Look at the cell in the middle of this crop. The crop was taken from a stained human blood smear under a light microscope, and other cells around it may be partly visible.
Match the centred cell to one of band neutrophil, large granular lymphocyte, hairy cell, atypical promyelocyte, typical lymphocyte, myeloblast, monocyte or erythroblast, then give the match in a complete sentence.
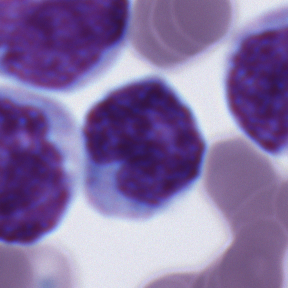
At the crop's centre, the cell is a monocyte.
